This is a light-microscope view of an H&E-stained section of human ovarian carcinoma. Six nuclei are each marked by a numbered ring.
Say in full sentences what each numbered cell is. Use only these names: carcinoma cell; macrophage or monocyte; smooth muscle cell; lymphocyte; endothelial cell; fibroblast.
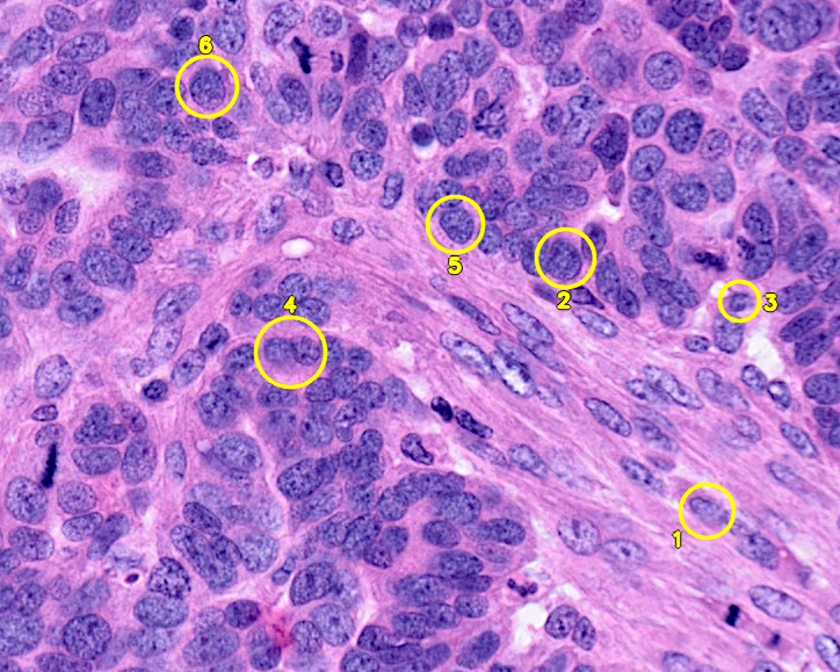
Cell 1 is a fibroblast, cell 2 is a carcinoma cell, cell 3 is a macrophage or monocyte, cell 4 is a carcinoma cell, cell 5 is a carcinoma cell and cell 6 is a carcinoma cell.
